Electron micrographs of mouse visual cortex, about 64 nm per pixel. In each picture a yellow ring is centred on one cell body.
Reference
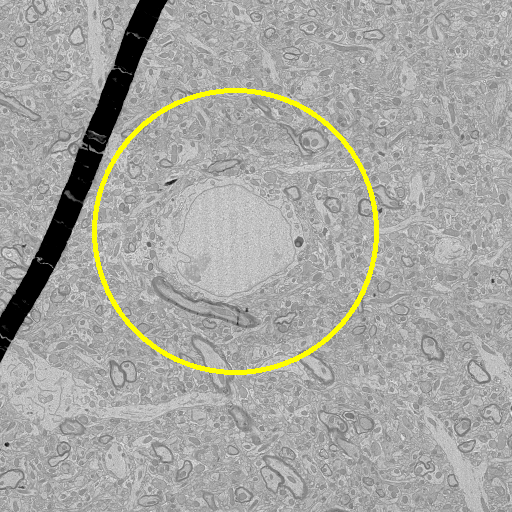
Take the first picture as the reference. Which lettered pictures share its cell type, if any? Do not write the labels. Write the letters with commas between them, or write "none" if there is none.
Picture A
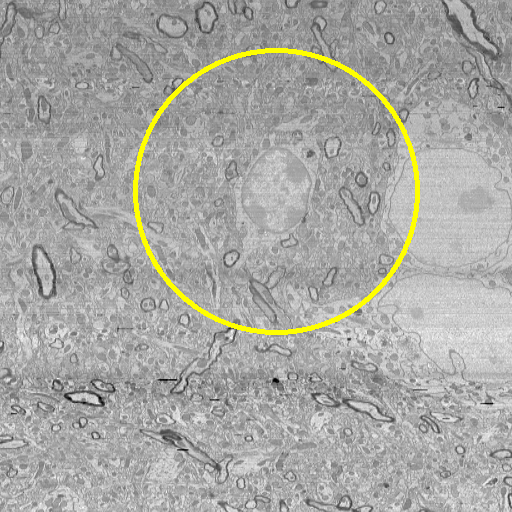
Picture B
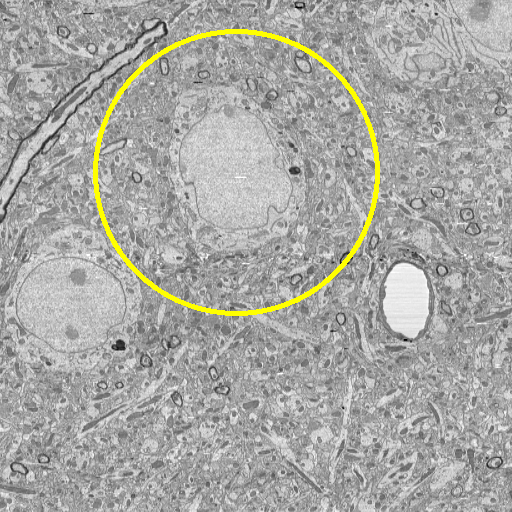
B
